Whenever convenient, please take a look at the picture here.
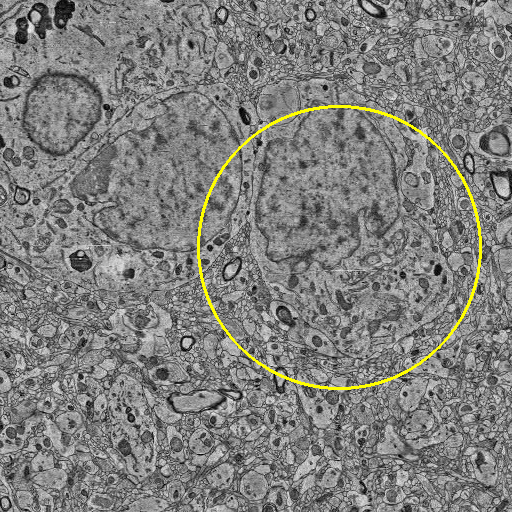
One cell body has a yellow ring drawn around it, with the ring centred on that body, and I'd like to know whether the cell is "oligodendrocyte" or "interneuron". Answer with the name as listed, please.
interneuron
